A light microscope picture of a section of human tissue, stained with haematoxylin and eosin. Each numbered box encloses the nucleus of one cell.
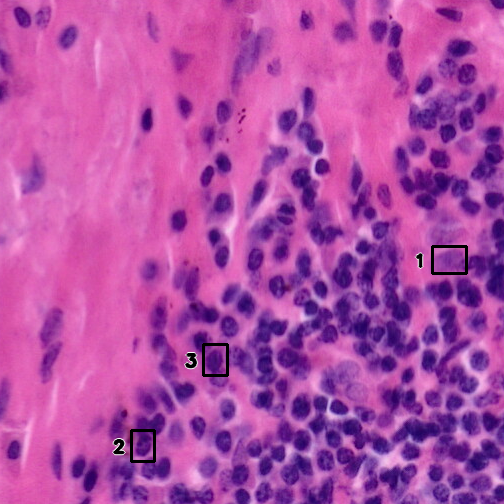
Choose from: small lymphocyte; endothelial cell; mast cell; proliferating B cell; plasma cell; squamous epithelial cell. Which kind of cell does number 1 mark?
endothelial cell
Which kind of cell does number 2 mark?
plasma cell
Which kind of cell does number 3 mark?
plasma cell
